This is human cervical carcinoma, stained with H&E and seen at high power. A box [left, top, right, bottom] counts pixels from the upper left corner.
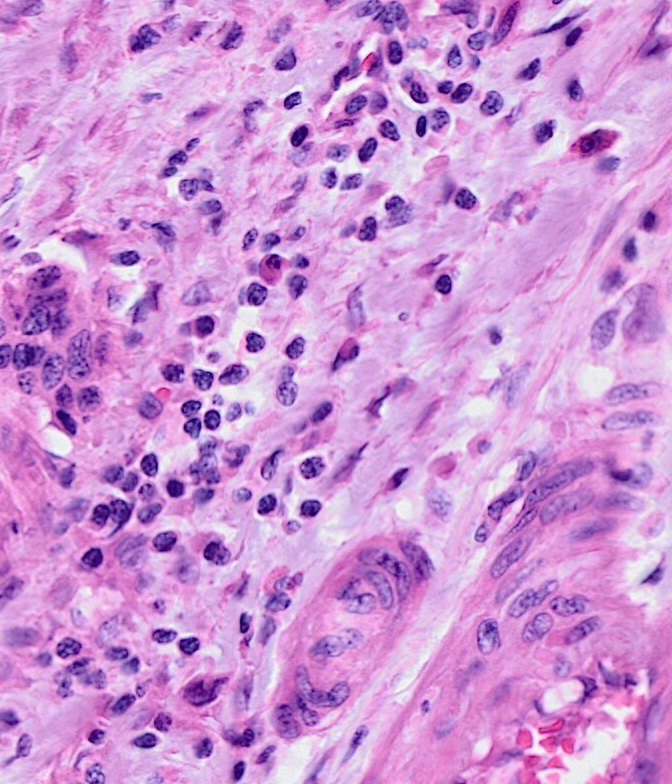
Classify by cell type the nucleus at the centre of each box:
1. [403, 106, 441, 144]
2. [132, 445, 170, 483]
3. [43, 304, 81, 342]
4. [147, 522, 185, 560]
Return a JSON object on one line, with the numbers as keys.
{"1": "lymphocyte", "2": "lymphocyte", "3": "squamous carcinoma cell", "4": "lymphocyte"}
